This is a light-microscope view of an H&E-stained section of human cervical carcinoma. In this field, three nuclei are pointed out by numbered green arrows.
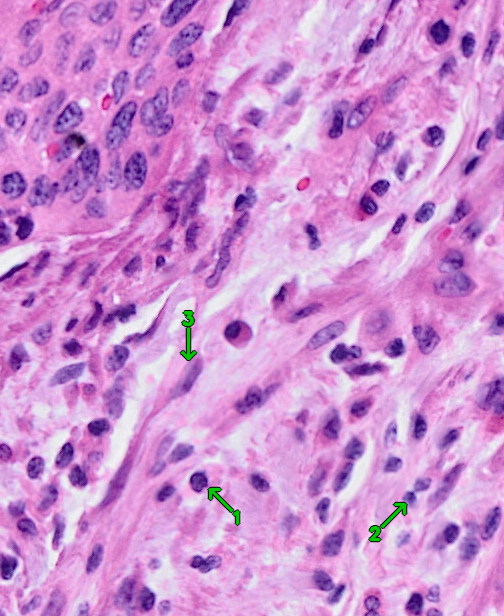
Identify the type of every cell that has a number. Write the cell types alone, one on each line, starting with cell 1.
lymphocyte
lymphocyte
fibroblast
